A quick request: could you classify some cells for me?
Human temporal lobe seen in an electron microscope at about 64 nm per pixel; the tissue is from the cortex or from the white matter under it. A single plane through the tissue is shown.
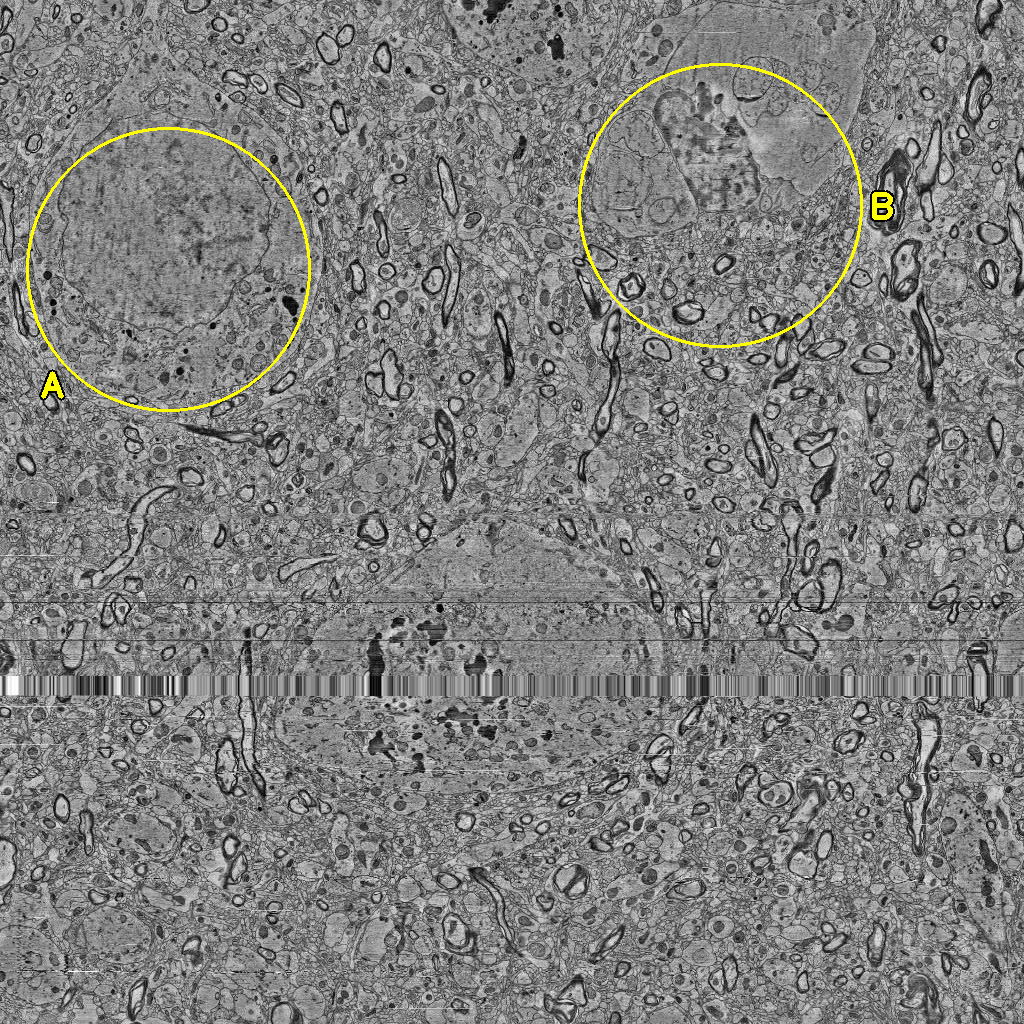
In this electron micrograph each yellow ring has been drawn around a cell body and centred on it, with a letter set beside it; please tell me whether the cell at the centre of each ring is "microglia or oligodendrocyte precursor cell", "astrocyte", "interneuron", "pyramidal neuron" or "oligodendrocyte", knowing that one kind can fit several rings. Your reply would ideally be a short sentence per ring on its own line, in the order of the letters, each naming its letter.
Ring A has a pyramidal neuron at its centre.
Ring B has an oligodendrocyte at its centre.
